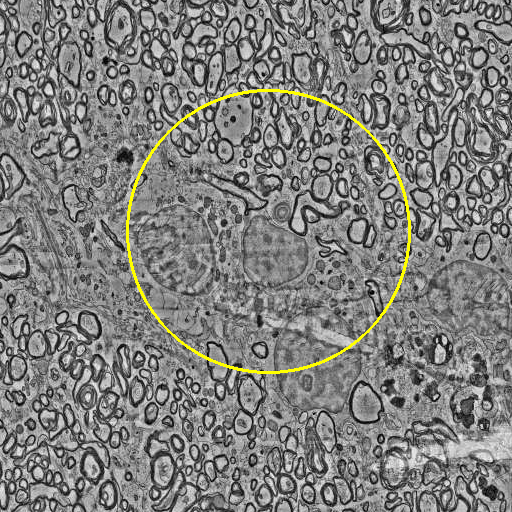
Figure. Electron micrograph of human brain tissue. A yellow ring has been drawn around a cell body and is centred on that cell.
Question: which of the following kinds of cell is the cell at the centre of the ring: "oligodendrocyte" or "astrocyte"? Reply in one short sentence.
The cell at the centre of the ring is an oligodendrocyte.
